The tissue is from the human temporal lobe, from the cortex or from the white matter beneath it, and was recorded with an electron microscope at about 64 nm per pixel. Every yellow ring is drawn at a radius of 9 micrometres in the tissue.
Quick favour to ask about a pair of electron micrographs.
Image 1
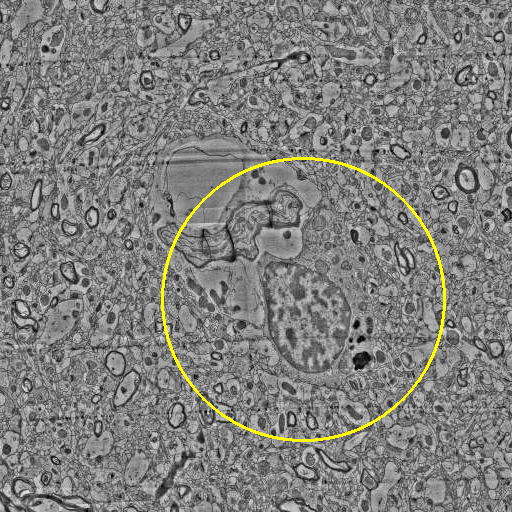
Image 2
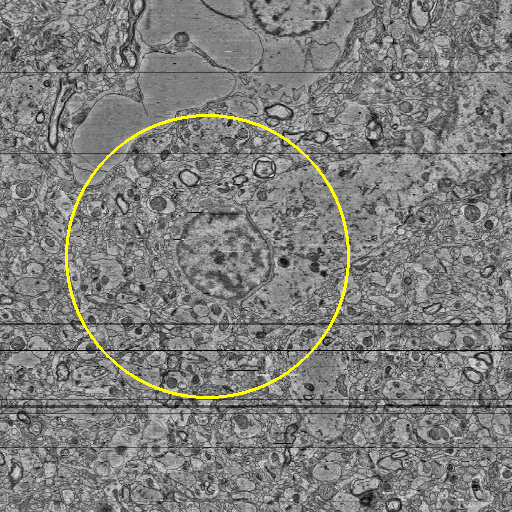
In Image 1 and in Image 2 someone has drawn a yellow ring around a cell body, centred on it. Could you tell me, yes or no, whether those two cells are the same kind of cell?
yes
